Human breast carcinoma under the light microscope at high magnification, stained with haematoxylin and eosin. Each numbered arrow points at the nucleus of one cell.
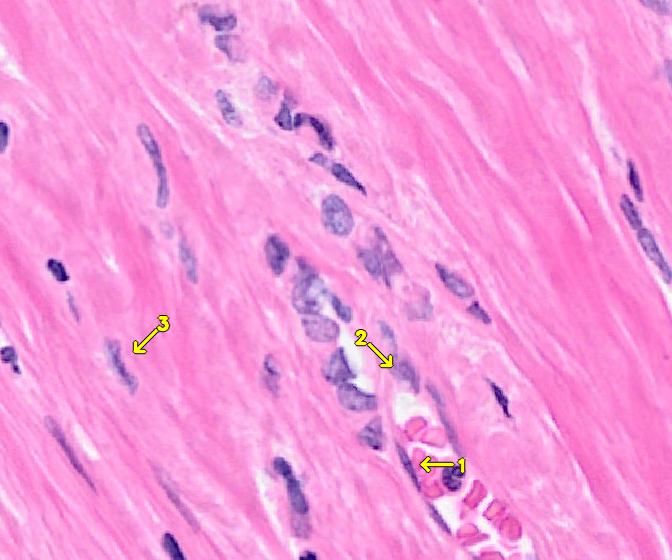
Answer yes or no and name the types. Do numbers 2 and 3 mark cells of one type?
No, the cell numbered 2 is an endothelial cell, and the cell numbered 3 is a fibroblast.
